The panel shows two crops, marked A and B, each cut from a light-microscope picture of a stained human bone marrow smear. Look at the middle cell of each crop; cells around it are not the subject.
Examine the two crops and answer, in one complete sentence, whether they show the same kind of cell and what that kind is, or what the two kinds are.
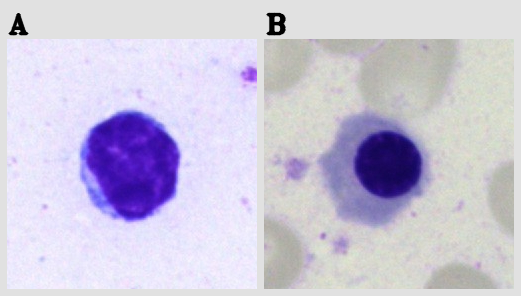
No, it is in crop A that a lymphocyte is shown, and in crop B that an erythroblast is shown.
